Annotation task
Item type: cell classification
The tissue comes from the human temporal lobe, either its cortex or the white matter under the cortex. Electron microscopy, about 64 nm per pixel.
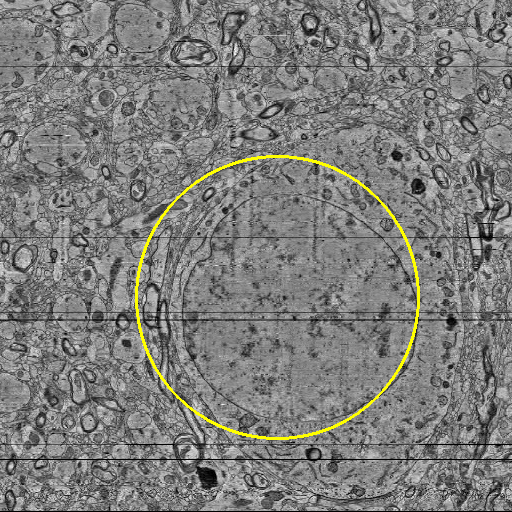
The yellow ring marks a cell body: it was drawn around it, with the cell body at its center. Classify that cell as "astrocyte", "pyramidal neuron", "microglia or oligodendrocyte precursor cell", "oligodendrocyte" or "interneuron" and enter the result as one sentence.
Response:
The ring's center falls on a pyramidal neuron.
